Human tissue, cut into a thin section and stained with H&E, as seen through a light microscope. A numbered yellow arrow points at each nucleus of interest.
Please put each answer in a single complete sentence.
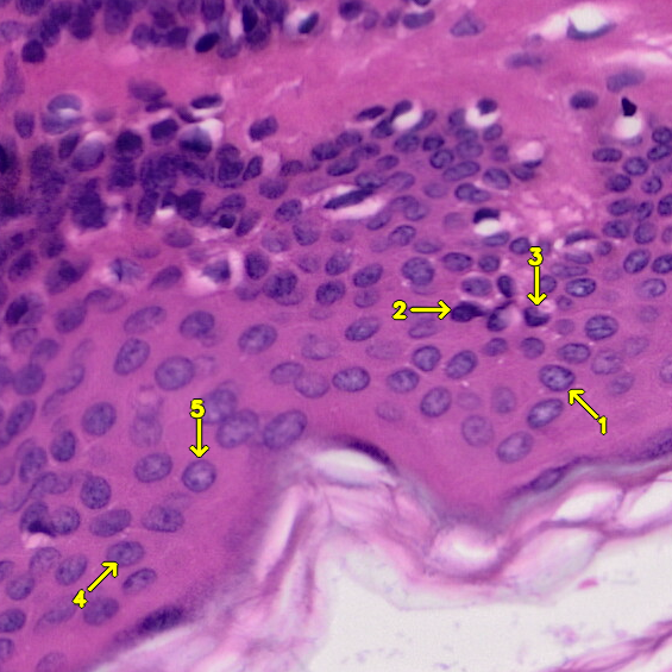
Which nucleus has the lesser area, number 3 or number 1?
With nucleus 1 about 2 times its size, nucleus 3 is the smaller of the two.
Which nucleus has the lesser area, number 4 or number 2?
It is nucleus 2; nucleus 4 has about 2 times its area.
